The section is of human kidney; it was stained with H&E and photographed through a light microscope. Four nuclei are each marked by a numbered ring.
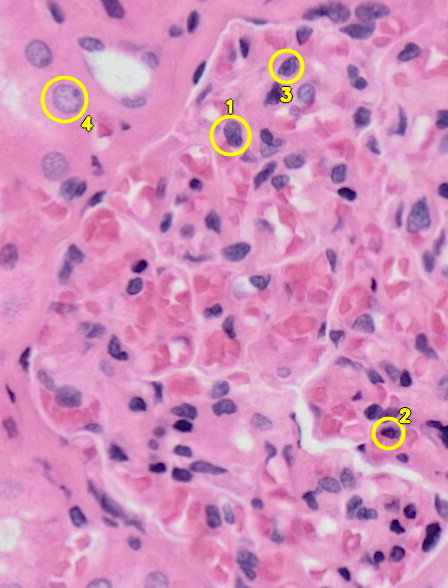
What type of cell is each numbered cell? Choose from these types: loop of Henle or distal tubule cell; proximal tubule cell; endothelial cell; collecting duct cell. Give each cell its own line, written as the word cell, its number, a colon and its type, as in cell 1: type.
cell 1: endothelial cell
cell 2: endothelial cell
cell 3: endothelial cell
cell 4: proximal tubule cell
